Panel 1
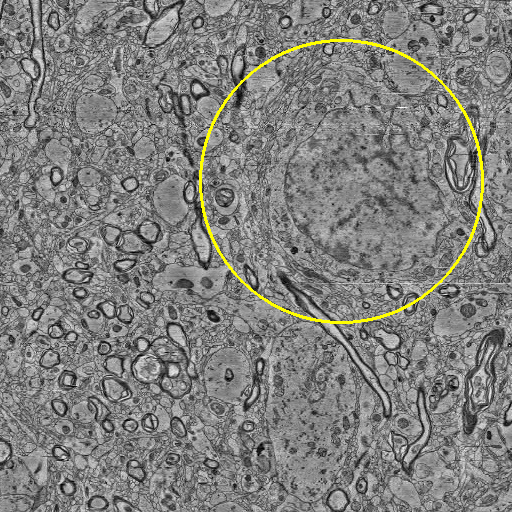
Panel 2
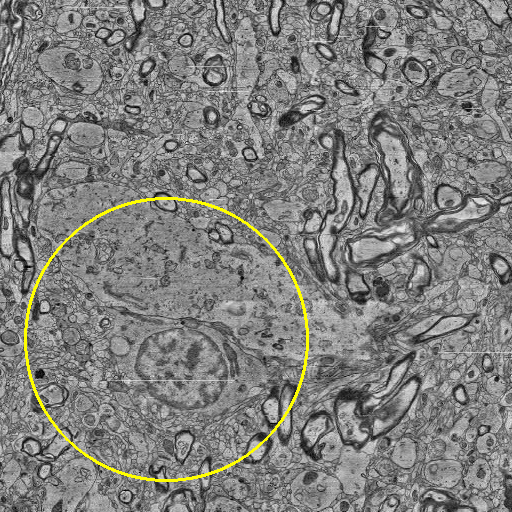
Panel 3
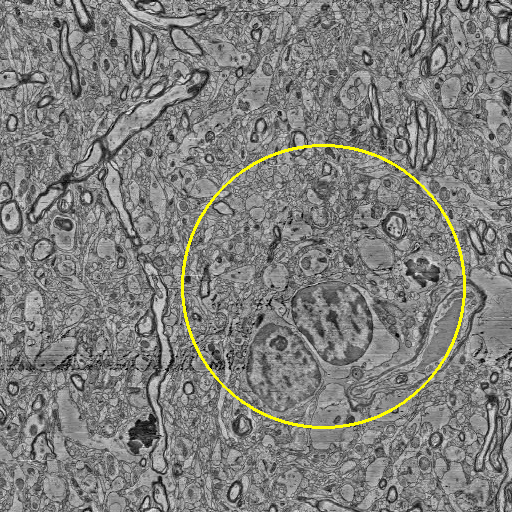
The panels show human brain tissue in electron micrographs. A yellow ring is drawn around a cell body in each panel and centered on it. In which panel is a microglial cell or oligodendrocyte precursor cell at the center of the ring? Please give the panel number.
3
